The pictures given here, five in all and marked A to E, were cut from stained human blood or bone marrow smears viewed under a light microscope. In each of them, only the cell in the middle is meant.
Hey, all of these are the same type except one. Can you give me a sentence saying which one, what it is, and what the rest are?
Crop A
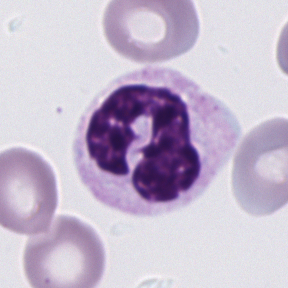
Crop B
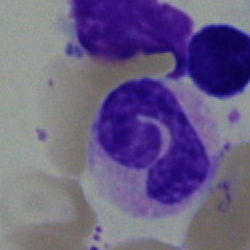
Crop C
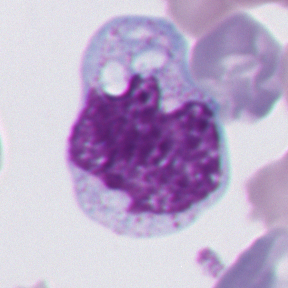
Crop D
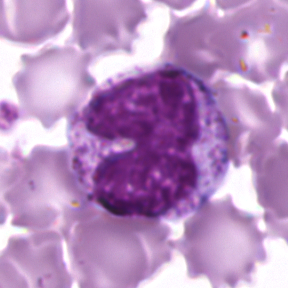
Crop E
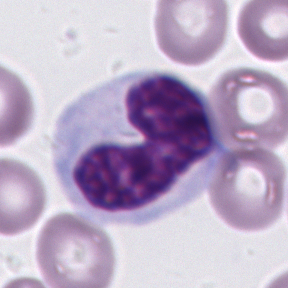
Only in crop C is there a monocyte; all other crops show band neutrophils.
